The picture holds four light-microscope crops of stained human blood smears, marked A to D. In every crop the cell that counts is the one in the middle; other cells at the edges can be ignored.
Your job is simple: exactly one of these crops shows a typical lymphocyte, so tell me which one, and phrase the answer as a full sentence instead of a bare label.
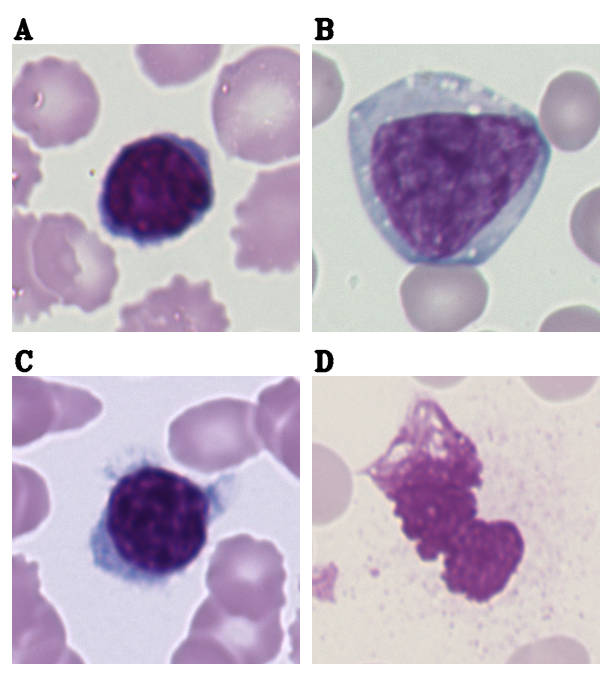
Selected crop: A, which is the one that shows a typical lymphocyte.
